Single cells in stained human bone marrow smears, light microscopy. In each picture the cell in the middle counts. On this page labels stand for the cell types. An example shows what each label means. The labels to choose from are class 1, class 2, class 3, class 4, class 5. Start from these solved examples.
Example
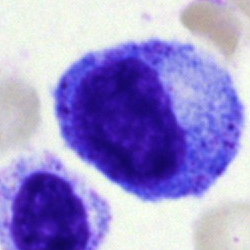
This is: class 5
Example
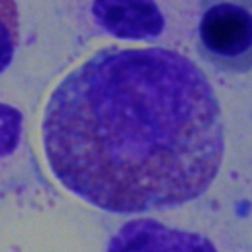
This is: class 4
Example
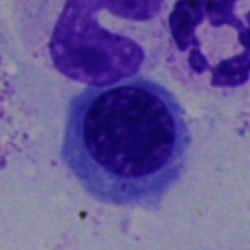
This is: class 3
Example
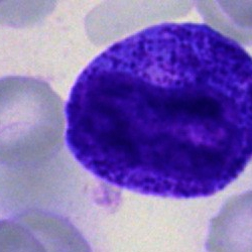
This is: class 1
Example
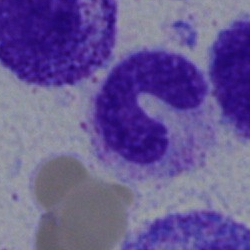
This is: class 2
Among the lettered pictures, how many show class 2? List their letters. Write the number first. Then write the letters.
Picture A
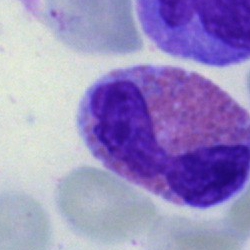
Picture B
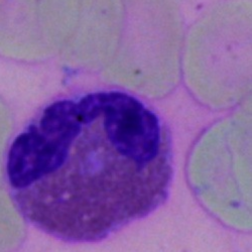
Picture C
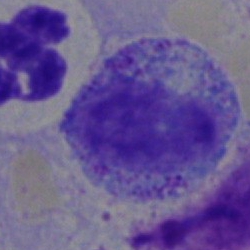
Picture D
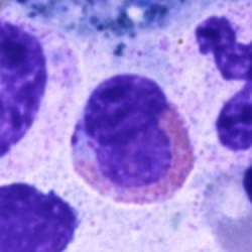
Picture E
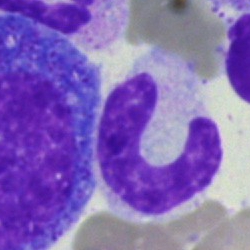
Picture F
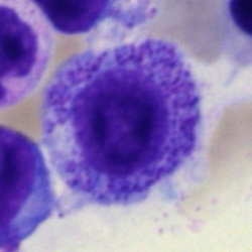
Count: 1 (E)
